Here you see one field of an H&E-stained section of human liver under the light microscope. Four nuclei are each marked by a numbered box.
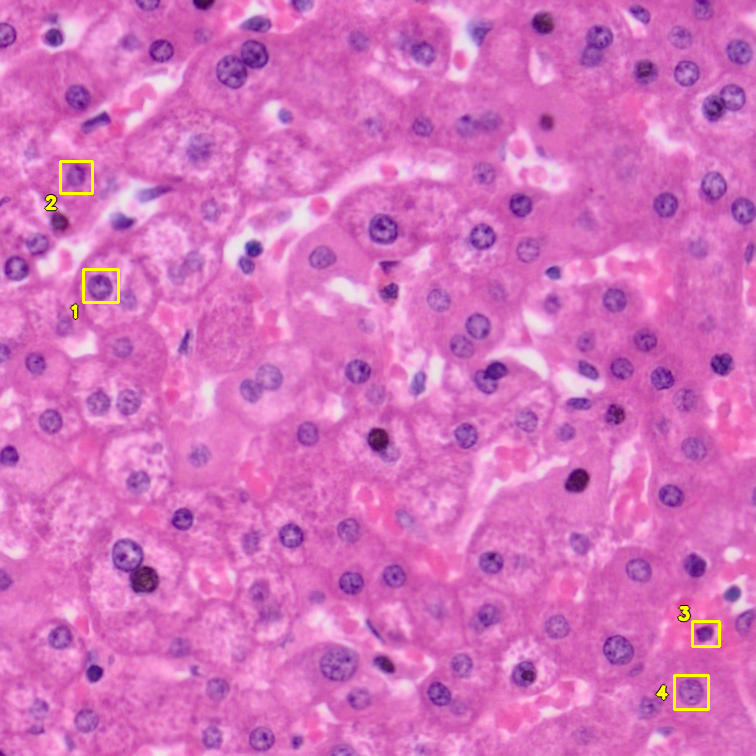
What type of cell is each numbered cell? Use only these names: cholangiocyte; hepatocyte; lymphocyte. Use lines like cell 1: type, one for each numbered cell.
cell 1: hepatocyte
cell 2: hepatocyte
cell 3: lymphocyte
cell 4: hepatocyte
